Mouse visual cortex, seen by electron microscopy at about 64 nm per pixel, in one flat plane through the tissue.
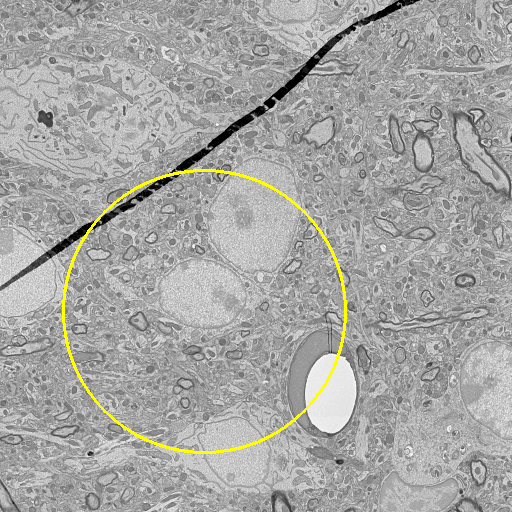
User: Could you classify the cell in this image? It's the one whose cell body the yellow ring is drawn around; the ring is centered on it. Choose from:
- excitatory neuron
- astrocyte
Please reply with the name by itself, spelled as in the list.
astrocyte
